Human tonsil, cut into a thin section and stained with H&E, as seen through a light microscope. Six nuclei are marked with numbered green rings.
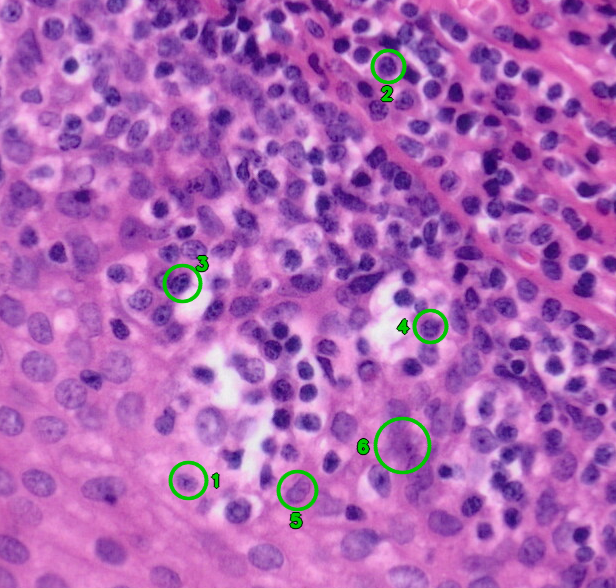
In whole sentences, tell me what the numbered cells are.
Cells 1, 5 and 6 are squamous epithelial cells. Cells 2, 3 and 4 are plasma cells.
